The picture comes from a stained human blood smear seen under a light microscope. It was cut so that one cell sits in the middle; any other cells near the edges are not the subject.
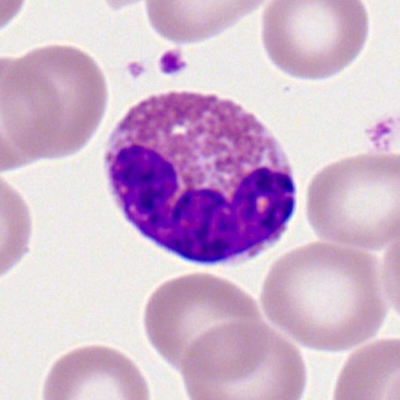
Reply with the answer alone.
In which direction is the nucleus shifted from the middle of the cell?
bottom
